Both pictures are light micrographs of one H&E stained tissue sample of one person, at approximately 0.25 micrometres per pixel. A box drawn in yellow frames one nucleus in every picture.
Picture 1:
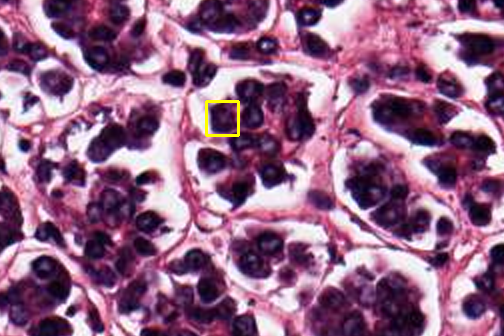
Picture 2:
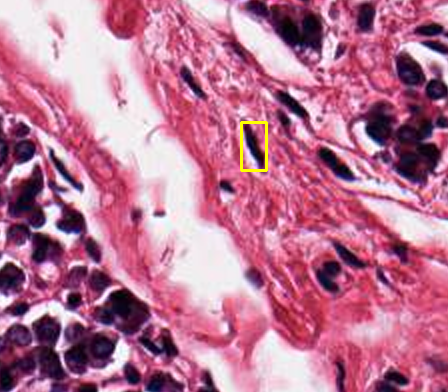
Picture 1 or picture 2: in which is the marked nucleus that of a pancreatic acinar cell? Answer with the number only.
1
